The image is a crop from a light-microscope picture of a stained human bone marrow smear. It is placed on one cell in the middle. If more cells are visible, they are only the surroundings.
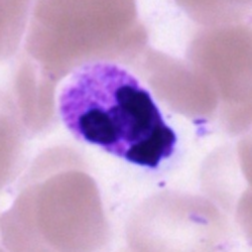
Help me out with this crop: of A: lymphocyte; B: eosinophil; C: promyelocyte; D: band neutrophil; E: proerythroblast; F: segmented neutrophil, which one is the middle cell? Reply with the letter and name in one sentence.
Option F holds, for the cell in the middle is a segmented neutrophil.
